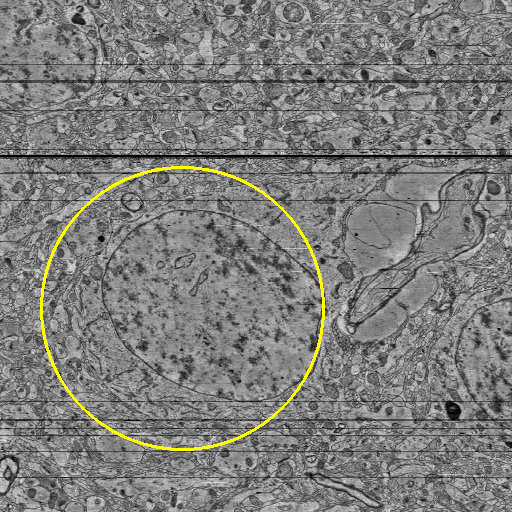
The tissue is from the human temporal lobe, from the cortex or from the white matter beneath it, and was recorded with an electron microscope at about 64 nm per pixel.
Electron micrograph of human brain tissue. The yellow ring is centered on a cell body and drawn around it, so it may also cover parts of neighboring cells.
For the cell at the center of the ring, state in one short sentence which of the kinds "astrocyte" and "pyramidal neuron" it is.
This ring is centered on a pyramidal neuron.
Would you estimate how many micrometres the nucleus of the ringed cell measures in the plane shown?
The nucleus measures about 15 by 12 micrometres in this plane.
